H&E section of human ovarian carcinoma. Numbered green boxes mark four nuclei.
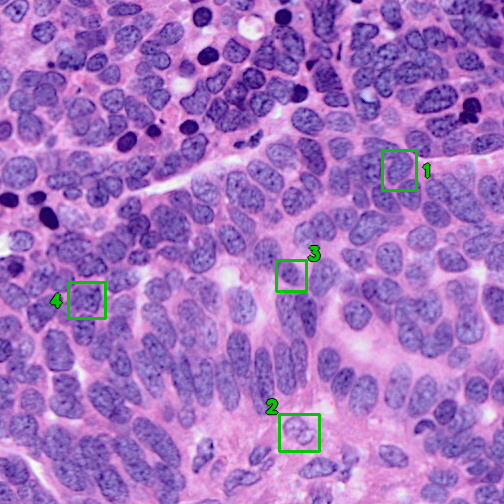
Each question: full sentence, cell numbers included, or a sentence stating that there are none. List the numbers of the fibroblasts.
With the exception of cell 2, no marked cell is a fibroblast.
